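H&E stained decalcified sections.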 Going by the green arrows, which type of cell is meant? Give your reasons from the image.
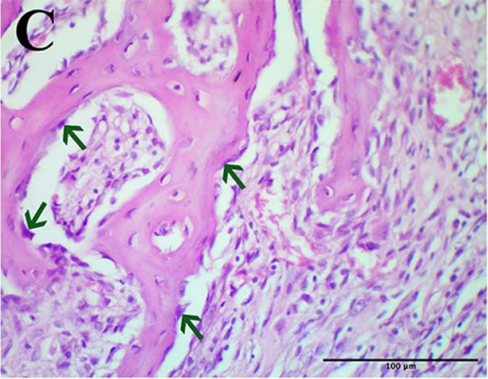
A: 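The arrows point to cells lying along the surfaces of pink bone trabeculae. The lining cells are sparse and do not form a continuous row. On this evidence: osteoblasts.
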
